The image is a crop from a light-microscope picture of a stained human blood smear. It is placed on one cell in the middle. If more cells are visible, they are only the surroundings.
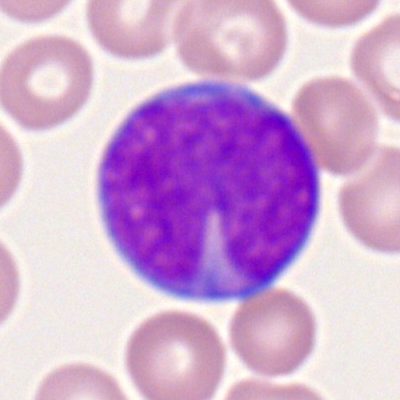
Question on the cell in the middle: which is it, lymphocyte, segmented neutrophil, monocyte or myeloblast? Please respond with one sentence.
In this smear crop, the middle cell is a myeloblast.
